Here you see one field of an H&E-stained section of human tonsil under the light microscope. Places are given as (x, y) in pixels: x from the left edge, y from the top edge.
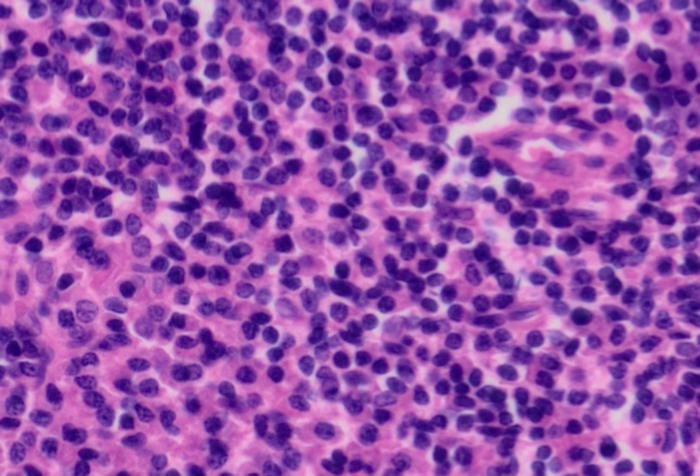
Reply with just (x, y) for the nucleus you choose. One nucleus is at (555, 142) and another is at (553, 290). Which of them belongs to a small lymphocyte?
(553, 290)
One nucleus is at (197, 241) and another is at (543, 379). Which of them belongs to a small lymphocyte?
(197, 241)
